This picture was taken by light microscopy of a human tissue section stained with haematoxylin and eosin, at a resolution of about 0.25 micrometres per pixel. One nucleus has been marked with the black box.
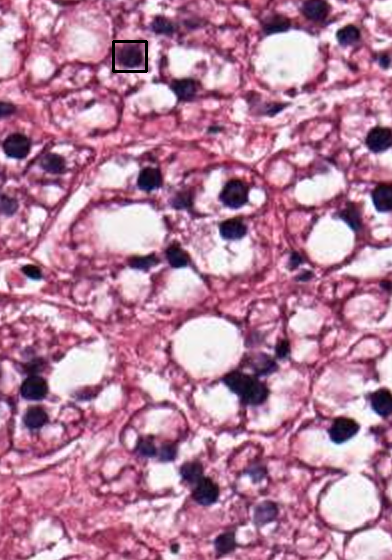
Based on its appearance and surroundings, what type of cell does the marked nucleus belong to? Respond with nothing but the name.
adrenal cortical cell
